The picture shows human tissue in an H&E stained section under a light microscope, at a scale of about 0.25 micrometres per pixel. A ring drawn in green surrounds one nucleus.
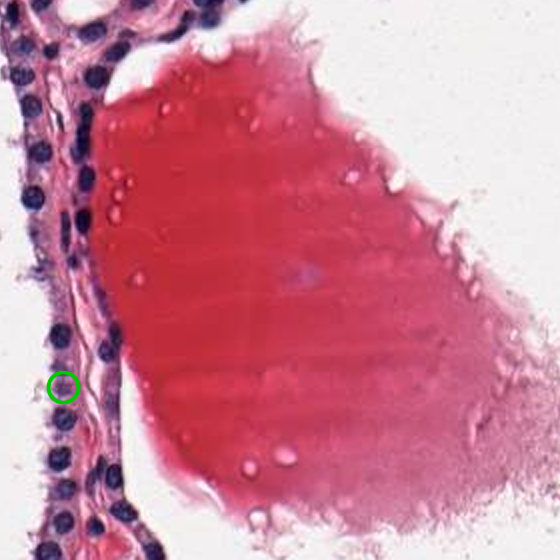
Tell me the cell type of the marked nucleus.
thyroid follicular cell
